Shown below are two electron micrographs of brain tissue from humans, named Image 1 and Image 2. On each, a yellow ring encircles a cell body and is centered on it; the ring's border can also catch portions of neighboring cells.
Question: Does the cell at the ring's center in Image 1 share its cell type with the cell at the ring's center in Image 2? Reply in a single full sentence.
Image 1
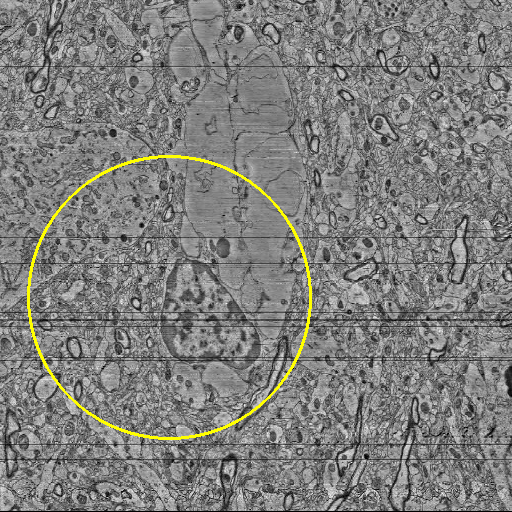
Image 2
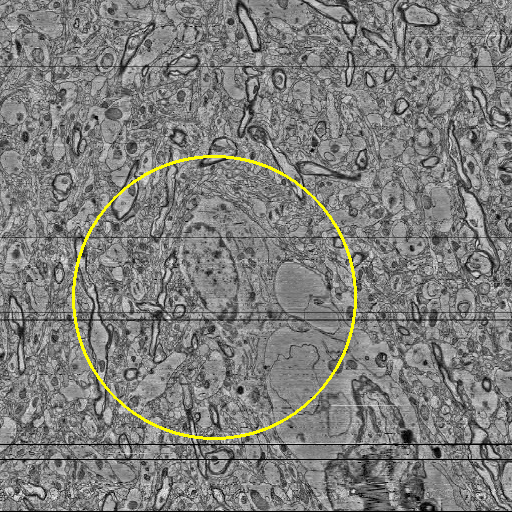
Yes, the two cells at the ring centers, in Image 1 and Image 2, share one cell type.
